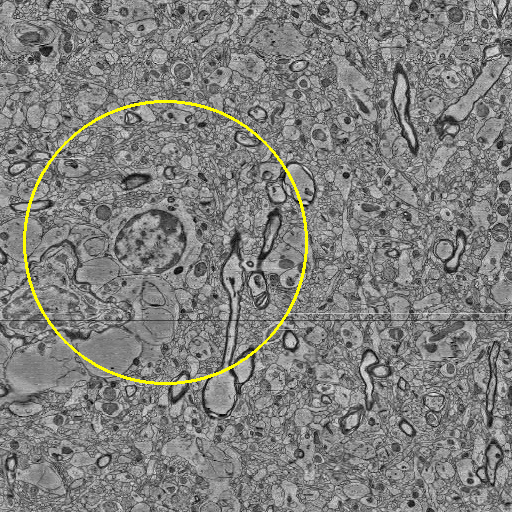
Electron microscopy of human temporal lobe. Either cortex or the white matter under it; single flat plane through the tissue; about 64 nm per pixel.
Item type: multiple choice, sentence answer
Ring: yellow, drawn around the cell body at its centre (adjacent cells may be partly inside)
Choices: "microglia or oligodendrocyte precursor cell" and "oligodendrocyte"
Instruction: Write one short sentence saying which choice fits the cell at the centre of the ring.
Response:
This ring is drawn around a microglial cell or oligodendrocyte precursor cell.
